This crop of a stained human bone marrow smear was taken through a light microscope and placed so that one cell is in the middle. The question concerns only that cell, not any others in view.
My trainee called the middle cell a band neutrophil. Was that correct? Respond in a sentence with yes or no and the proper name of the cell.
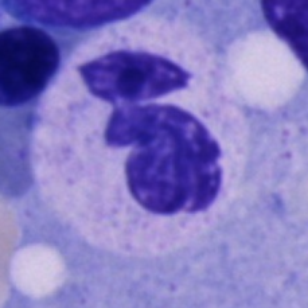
No, the central cell is not to be called a band neutrophil, being a segmented neutrophil.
